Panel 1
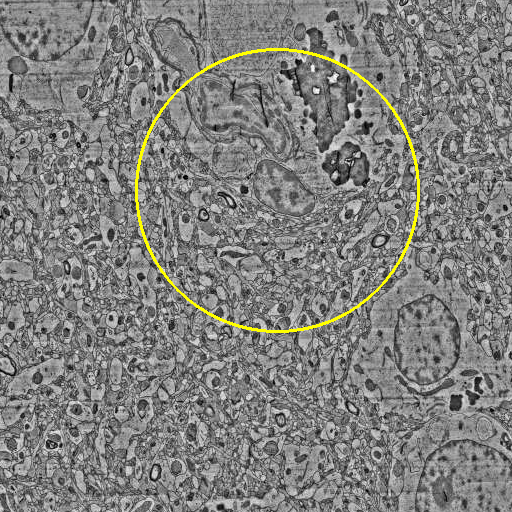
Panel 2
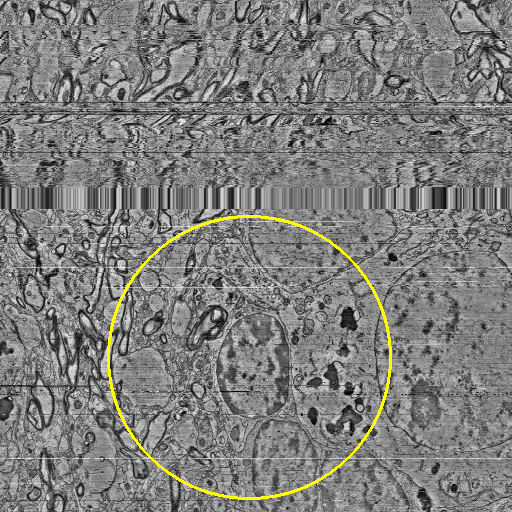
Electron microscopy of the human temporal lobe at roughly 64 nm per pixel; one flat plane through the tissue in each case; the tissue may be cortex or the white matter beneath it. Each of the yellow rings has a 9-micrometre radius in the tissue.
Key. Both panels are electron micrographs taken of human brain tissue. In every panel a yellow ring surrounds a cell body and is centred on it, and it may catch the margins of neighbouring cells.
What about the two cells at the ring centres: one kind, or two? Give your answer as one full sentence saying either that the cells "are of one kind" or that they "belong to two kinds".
Across Panels 1 and 2, the two cells at the ring centres are of one kind.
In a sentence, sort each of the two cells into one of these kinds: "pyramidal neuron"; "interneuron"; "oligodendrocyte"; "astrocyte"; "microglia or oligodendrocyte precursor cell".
In each of the two pictures, the ringed cell is a microglial cell or oligodendrocyte precursor cell.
